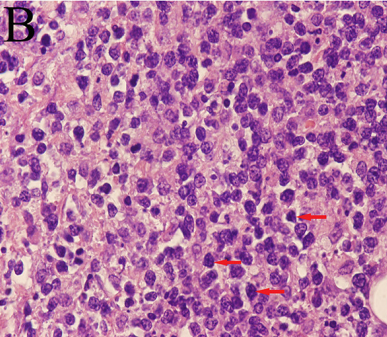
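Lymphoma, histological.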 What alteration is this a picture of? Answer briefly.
Diffusely infiltrating of medium-sized tumor cells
